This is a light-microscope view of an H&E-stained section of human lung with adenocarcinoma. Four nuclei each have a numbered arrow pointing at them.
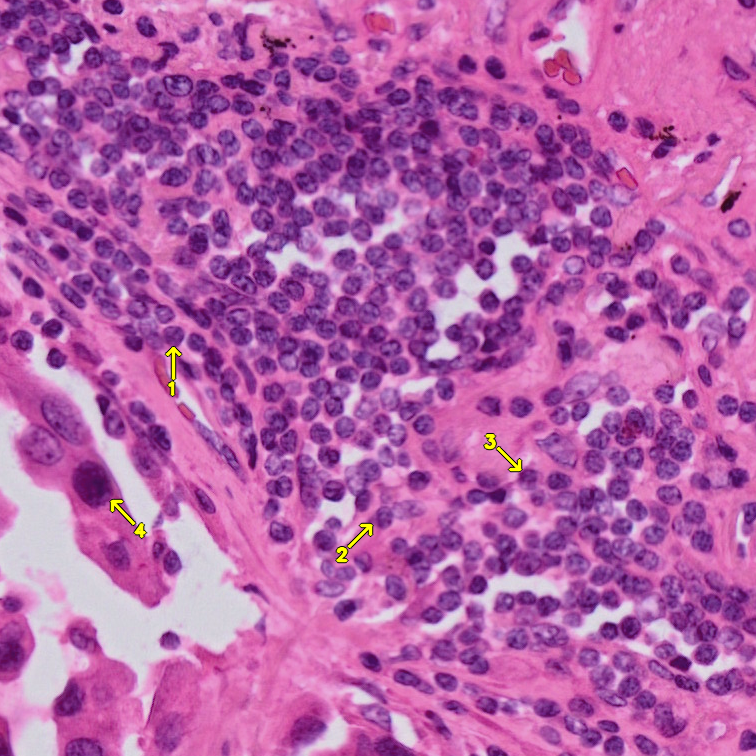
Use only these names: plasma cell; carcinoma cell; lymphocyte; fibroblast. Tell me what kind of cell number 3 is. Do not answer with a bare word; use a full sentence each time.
Cell number 3 in this section is a lymphocyte.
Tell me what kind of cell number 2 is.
The cell pointed out by number 2 is a lymphocyte.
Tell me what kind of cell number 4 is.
The cell tagged with 4 in this tissue section is a carcinoma cell.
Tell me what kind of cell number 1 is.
The one numbered 1 among the marked cells is a lymphocyte.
